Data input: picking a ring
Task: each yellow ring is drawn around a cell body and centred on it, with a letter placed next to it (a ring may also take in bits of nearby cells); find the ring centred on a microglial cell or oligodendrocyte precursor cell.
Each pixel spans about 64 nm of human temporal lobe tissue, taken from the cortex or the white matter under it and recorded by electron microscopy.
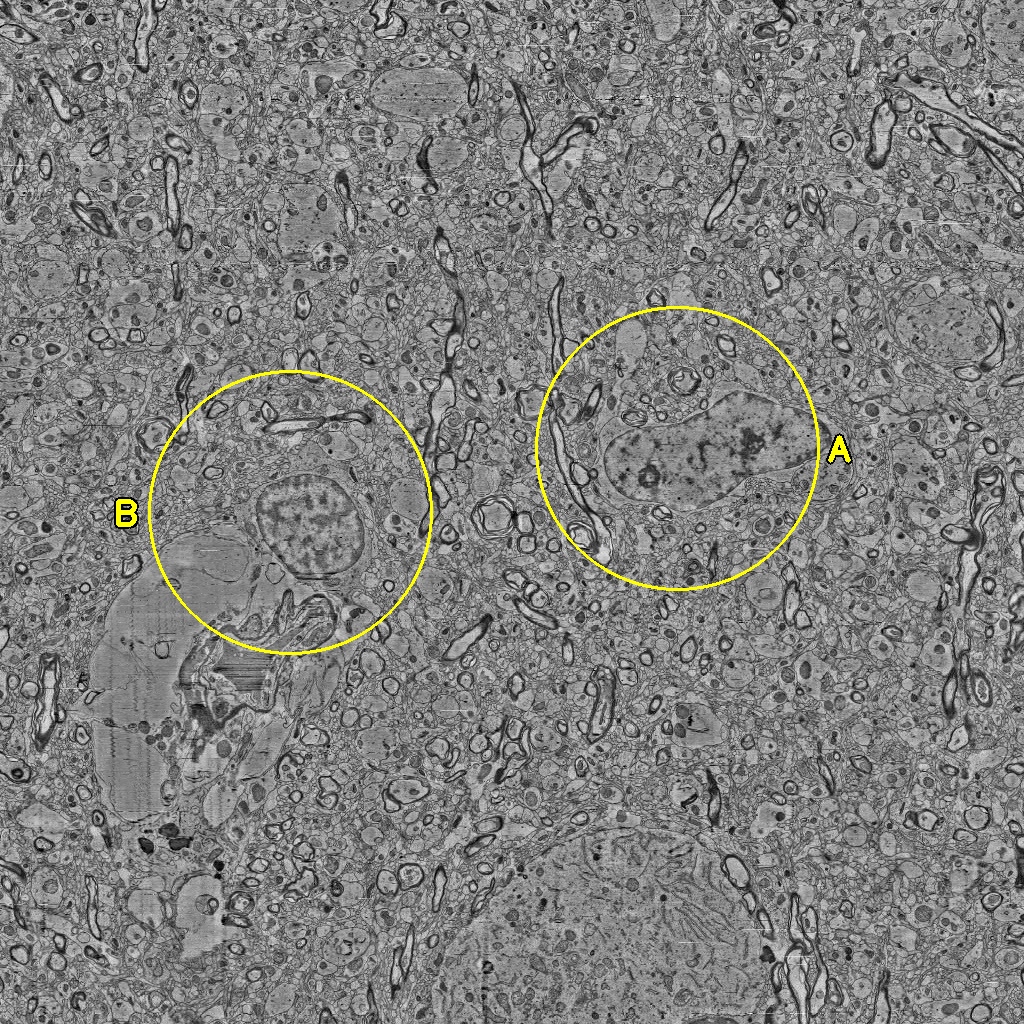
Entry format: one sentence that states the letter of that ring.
In the picture, the cell asked for sits at the centre of ring A.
